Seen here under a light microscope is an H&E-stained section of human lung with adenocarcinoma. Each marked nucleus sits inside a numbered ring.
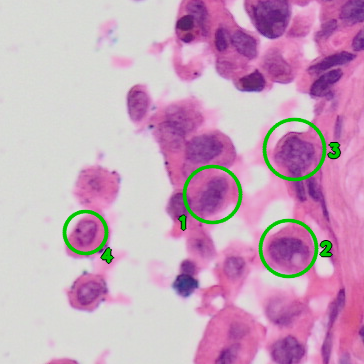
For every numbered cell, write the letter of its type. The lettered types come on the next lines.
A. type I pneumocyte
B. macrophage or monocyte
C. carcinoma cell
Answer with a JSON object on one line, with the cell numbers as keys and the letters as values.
{"1": "C", "2": "C", "3": "C", "4": "B"}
